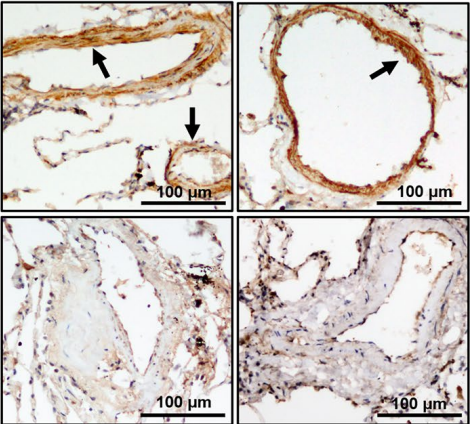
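These are four fields of lung tissue, each centred on a blood vessel within the alveolar area. In the two upper fields the vessels have a thick wall made of several wavy, concentric layers that are stained a strong brown, with elongated nuclei lying within the wall. The lumens of these vessels are open and round to oval. Around them lie thin alveolar septa with scattered small nuclei and faint brown staining. In the two lower fields the vessel walls are paler, with only weak brown staining, and the surrounding tissue holds scattered black particles of pigment.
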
